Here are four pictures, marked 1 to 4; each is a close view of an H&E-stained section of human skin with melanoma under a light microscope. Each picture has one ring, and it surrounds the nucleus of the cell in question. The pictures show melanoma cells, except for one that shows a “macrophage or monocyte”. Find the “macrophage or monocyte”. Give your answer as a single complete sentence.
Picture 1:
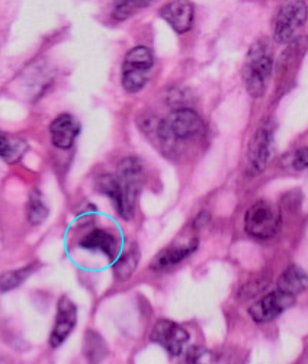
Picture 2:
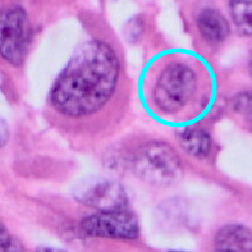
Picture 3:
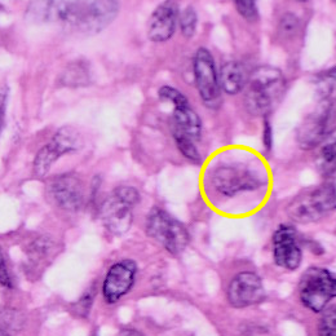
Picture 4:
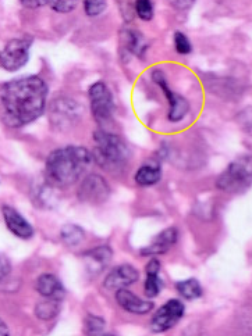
The “macrophage or monocyte” is the one in picture 4.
